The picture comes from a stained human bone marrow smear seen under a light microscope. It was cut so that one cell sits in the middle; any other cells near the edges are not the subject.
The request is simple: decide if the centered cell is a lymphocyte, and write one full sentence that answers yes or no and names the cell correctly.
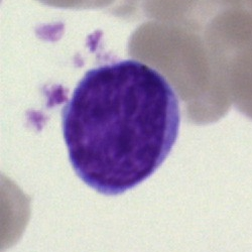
Yes, the cell in the middle of this smear crop is a lymphocyte.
